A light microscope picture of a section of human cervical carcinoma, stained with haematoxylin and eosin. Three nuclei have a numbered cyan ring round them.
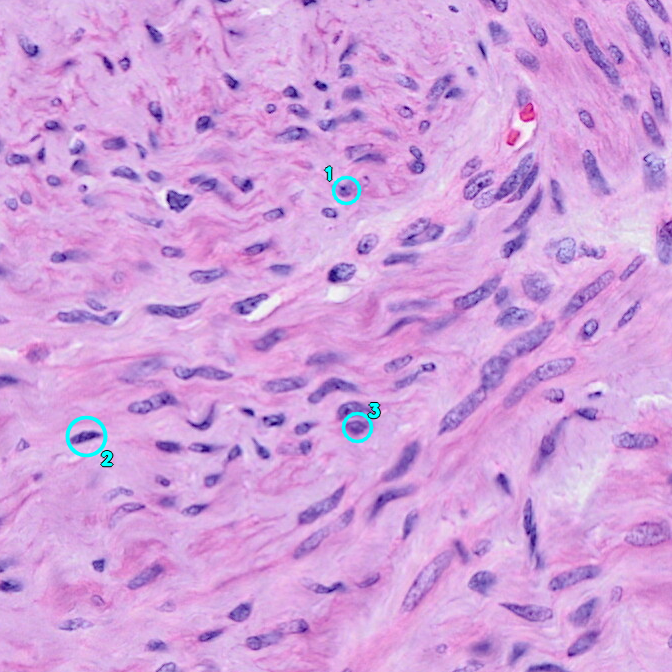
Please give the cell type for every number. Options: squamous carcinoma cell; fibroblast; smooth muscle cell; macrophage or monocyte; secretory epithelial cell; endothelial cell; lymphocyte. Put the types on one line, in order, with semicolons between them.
smooth muscle cell; fibroblast; smooth muscle cell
